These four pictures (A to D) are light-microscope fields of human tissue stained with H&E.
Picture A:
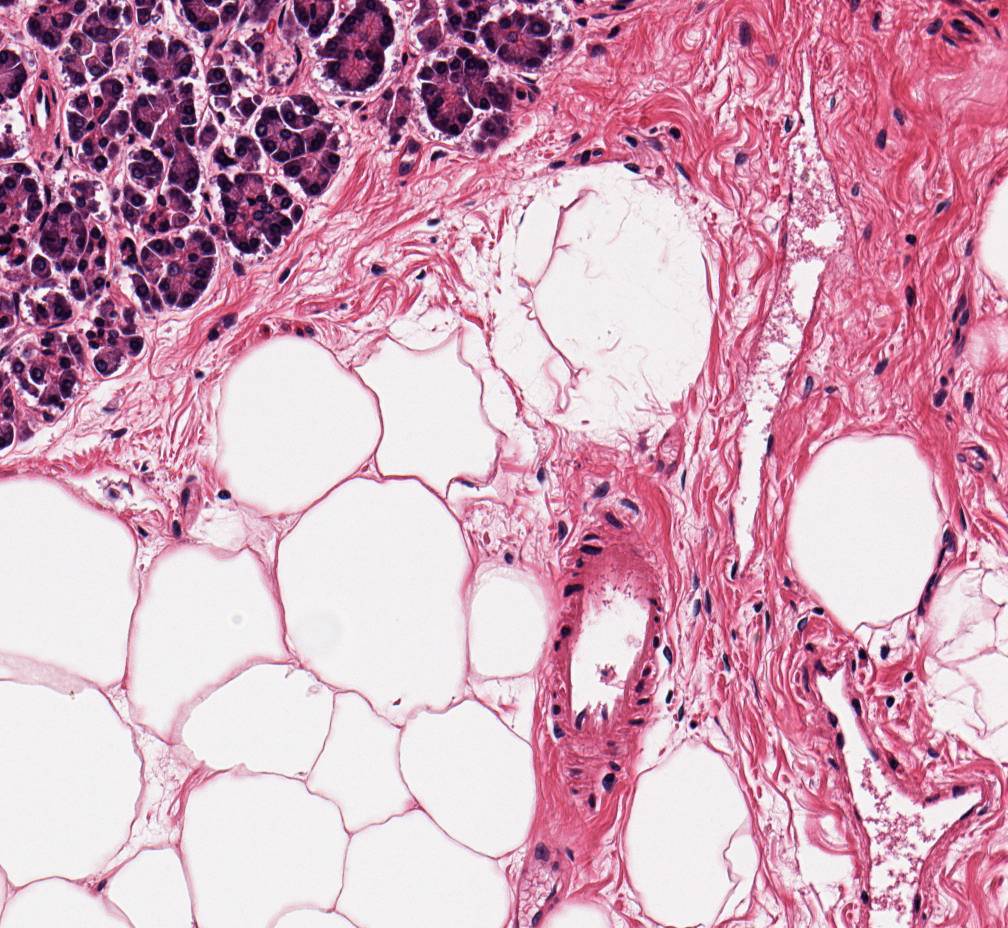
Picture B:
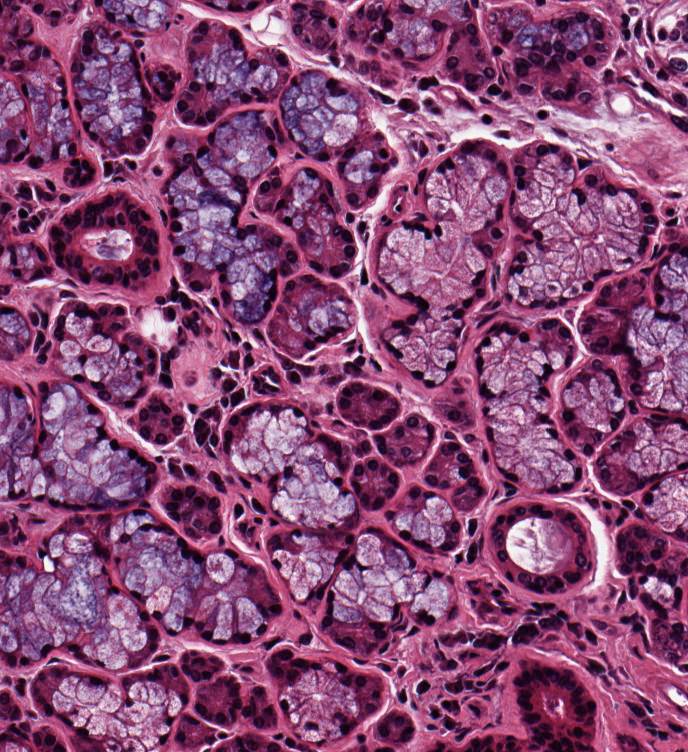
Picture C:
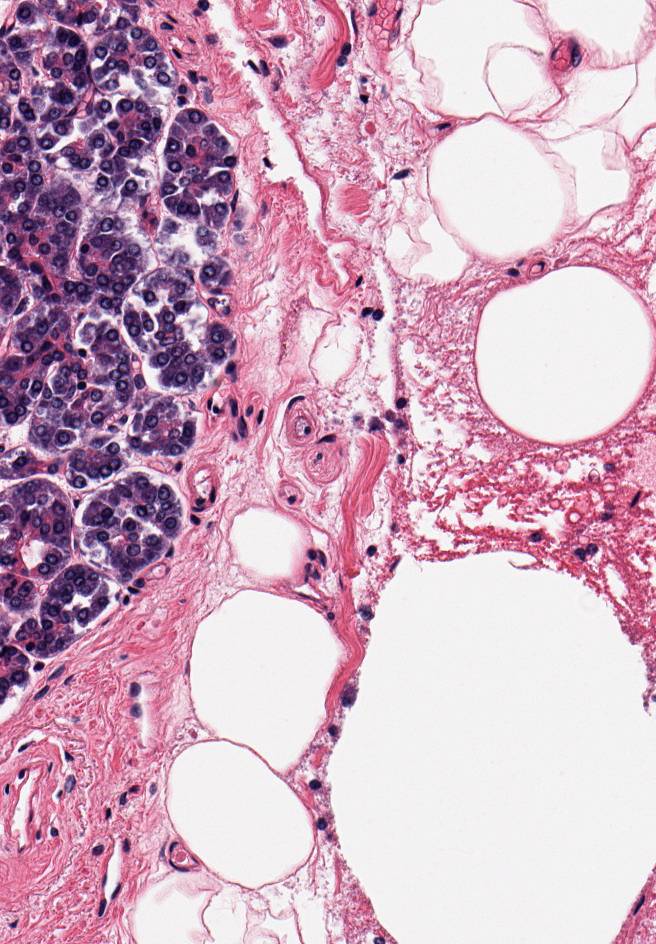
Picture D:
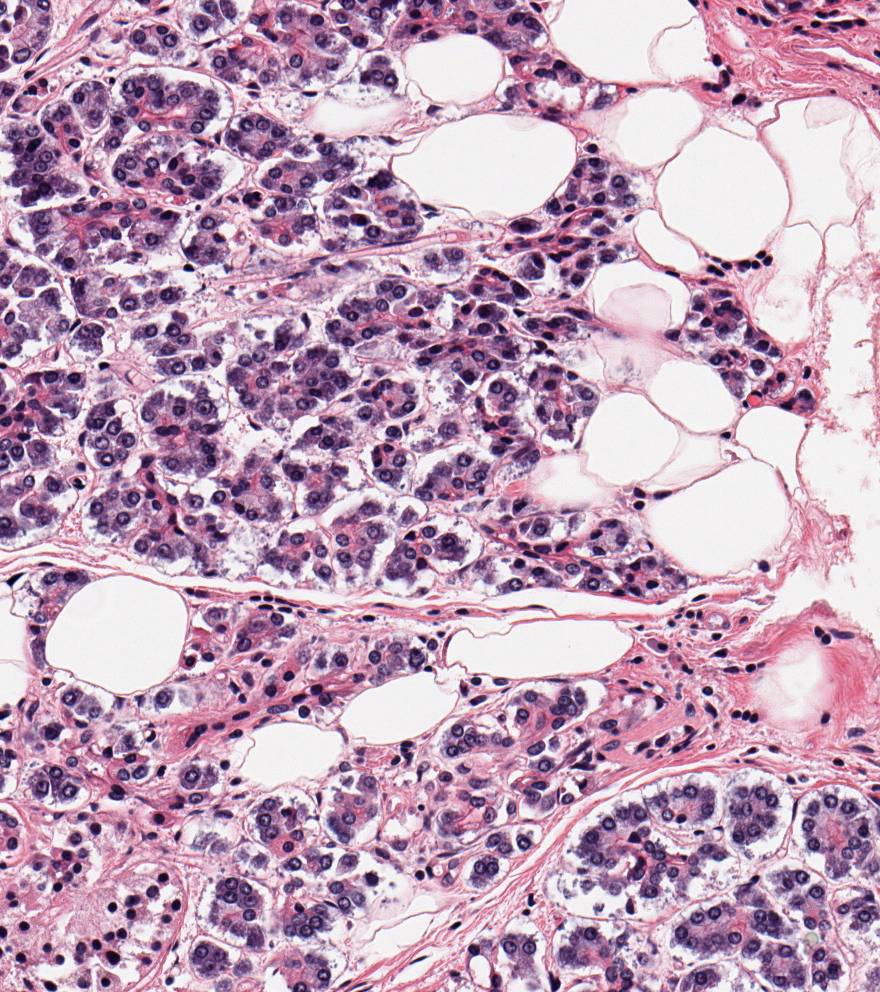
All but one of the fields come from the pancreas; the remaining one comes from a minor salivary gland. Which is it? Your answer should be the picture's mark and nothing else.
B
